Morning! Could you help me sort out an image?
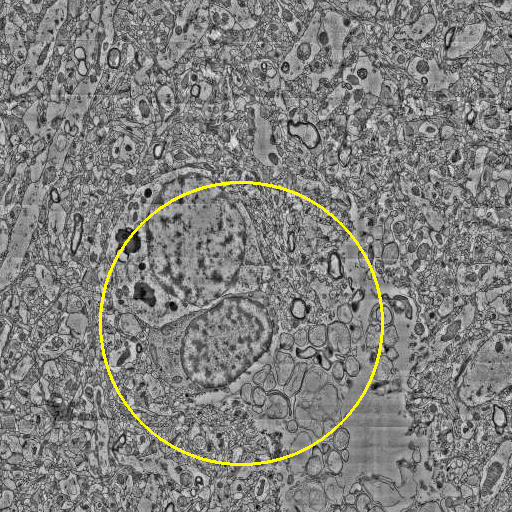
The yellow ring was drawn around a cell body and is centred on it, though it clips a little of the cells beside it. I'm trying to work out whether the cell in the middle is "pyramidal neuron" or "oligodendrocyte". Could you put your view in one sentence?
The ringed cell body is that of an oligodendrocyte.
